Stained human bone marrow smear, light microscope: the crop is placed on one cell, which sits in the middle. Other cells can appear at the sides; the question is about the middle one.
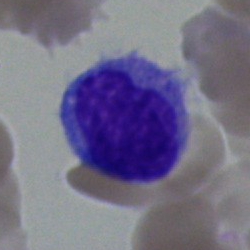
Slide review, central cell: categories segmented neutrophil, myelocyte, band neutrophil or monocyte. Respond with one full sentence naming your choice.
As for the central cell, it is a monocyte.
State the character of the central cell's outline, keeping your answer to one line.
Its outline is ragged or drawn out into projections, not smooth.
